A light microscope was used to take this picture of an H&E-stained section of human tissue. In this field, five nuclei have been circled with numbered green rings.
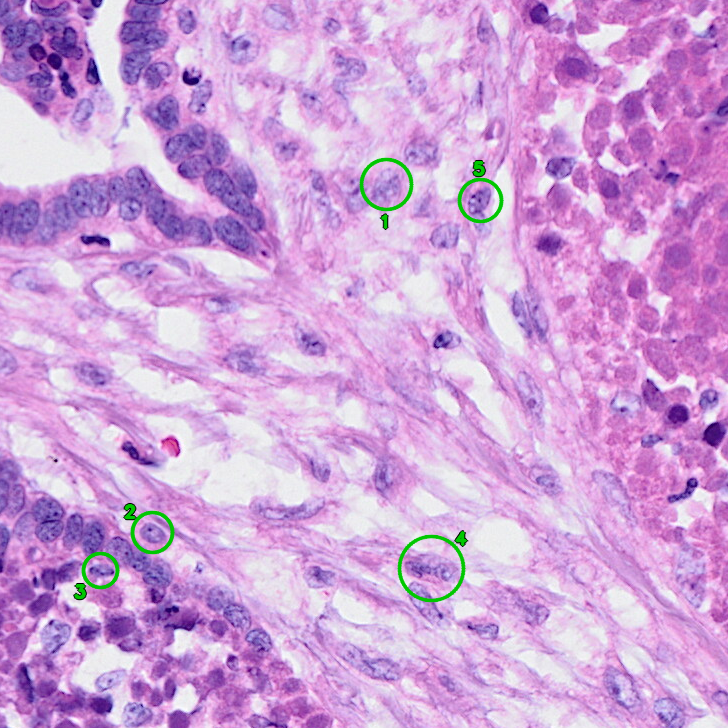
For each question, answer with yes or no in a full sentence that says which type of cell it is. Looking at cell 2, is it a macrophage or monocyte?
Yes, and to answer plainly, cell 2 is a macrophage or monocyte.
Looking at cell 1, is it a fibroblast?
Yes, it is a fibroblast that number 1 identifies.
